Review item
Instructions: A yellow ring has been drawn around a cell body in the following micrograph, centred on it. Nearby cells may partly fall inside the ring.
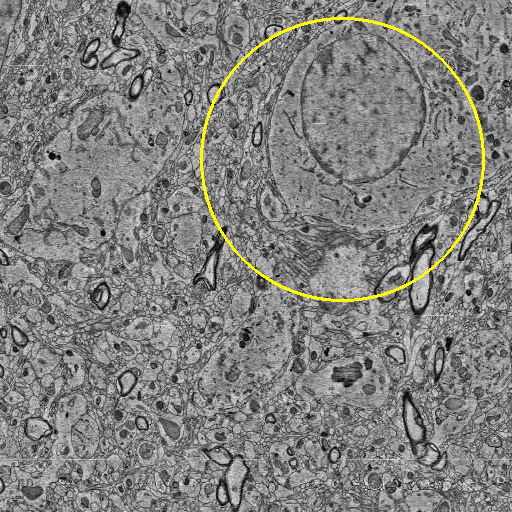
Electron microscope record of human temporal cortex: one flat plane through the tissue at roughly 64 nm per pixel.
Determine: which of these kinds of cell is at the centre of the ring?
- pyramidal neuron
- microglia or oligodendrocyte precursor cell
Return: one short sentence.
The cell body in the middle of the ring is that of a microglial cell or oligodendrocyte precursor cell.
